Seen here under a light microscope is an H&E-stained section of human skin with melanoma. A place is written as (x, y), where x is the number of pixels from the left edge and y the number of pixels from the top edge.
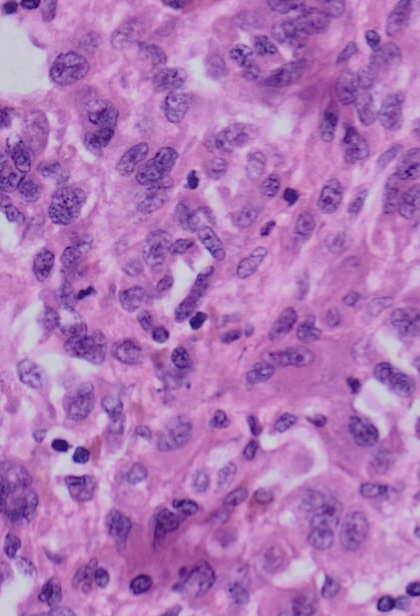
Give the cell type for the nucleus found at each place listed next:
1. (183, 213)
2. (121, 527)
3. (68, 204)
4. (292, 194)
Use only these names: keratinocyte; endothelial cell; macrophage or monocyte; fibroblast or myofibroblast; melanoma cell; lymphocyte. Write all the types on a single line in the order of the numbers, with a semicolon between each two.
melanoma cell; melanoma cell; melanoma cell; lymphocyte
